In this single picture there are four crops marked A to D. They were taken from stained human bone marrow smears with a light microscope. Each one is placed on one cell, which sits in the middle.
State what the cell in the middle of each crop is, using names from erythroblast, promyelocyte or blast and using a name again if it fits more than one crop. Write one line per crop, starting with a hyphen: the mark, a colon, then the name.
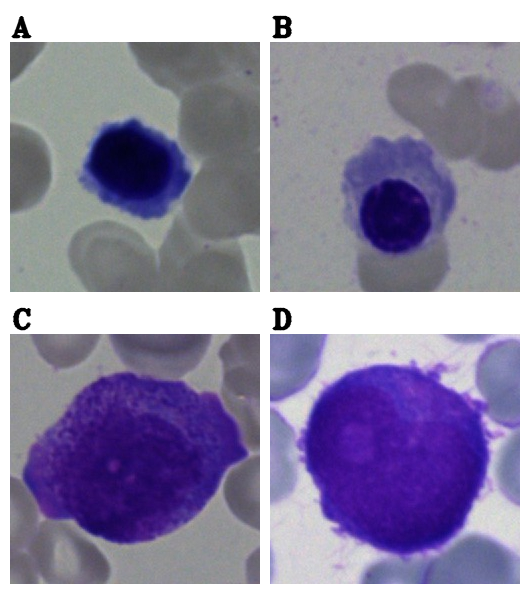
- A: erythroblast
- B: erythroblast
- C: blast
- D: blast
